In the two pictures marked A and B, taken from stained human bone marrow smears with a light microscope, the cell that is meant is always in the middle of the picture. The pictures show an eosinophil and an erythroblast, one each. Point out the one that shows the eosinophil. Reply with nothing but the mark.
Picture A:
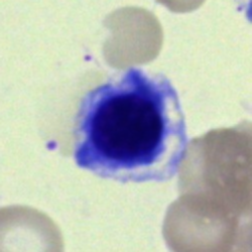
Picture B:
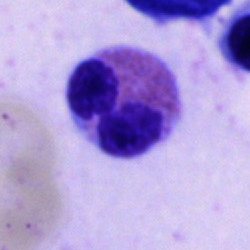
B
